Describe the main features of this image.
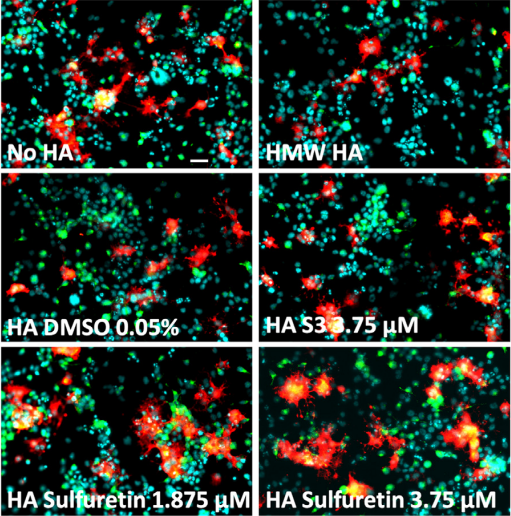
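Scattered among them are red cells with a central body and many fine branching processes that spread into flat, lacy membrane sheets, sometimes overlapping with green to look yellow. The number and spread of the red branched cells differ from field to field across the grid.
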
